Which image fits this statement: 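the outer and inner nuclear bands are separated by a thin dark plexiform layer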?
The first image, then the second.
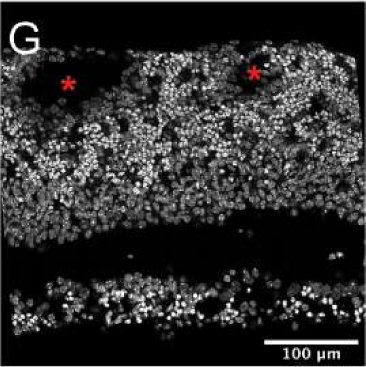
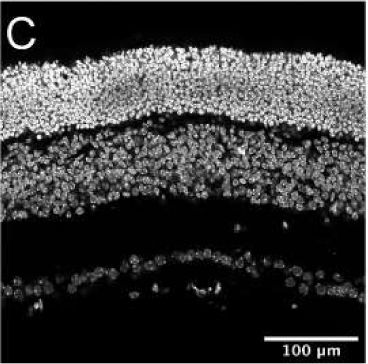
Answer: The second image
